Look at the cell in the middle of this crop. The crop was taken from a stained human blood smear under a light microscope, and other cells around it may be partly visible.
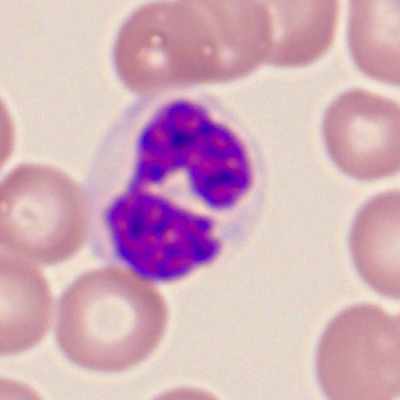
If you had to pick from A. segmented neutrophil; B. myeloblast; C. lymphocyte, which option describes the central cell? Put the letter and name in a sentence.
In this crop the central cell is a segmented neutrophil, which option A correctly states.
